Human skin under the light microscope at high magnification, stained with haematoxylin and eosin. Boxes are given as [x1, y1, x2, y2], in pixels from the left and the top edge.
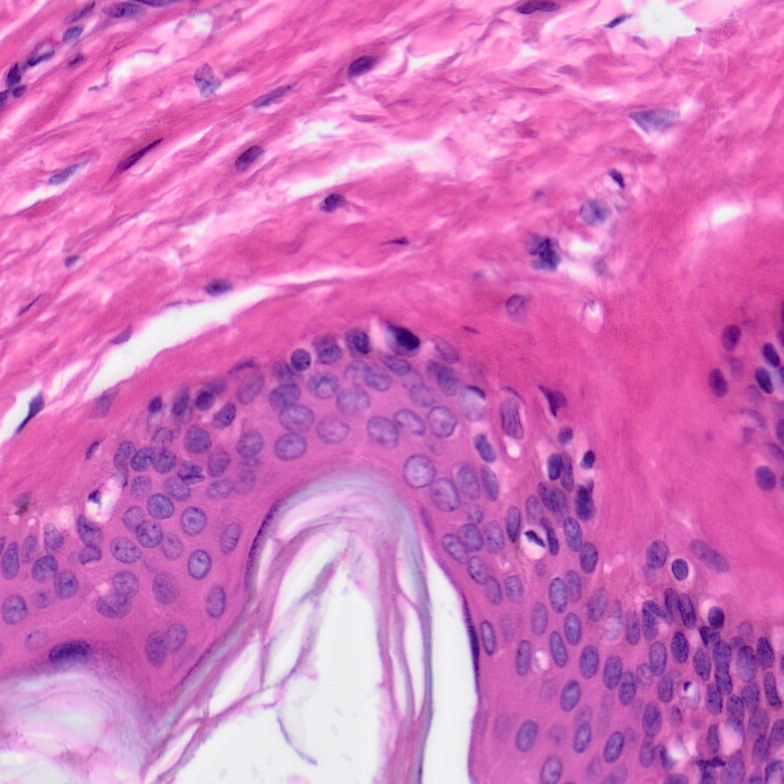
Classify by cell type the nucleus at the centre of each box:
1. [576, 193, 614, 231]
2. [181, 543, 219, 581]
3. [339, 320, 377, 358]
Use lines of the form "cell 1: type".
cell 1: endothelial cell
cell 2: suprabasal keratinocyte
cell 3: basal keratinocyte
